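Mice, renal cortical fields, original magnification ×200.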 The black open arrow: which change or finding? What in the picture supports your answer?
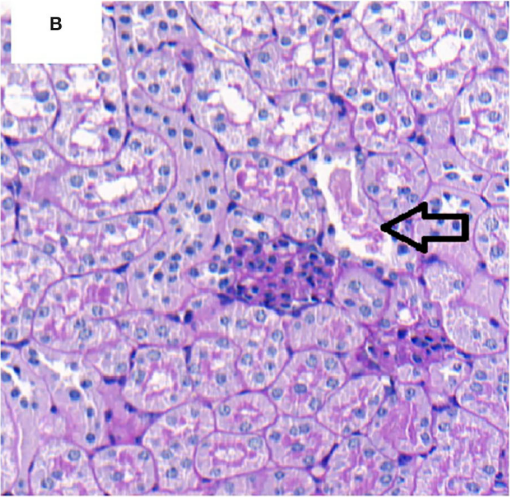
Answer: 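Loss of brush border. The lining at the arrow lacks the fuzzy magenta apical border seen in the neighbouring tubules.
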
